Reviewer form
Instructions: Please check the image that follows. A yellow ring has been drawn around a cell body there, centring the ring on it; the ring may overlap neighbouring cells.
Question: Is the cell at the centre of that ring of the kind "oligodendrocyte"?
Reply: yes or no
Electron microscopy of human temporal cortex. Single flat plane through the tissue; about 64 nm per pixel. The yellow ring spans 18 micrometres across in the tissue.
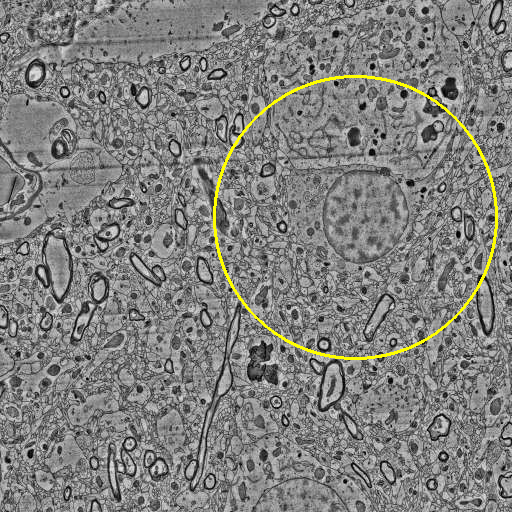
yes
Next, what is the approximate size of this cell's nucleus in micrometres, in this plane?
In this plane the nucleus is about 6 micrometres across.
